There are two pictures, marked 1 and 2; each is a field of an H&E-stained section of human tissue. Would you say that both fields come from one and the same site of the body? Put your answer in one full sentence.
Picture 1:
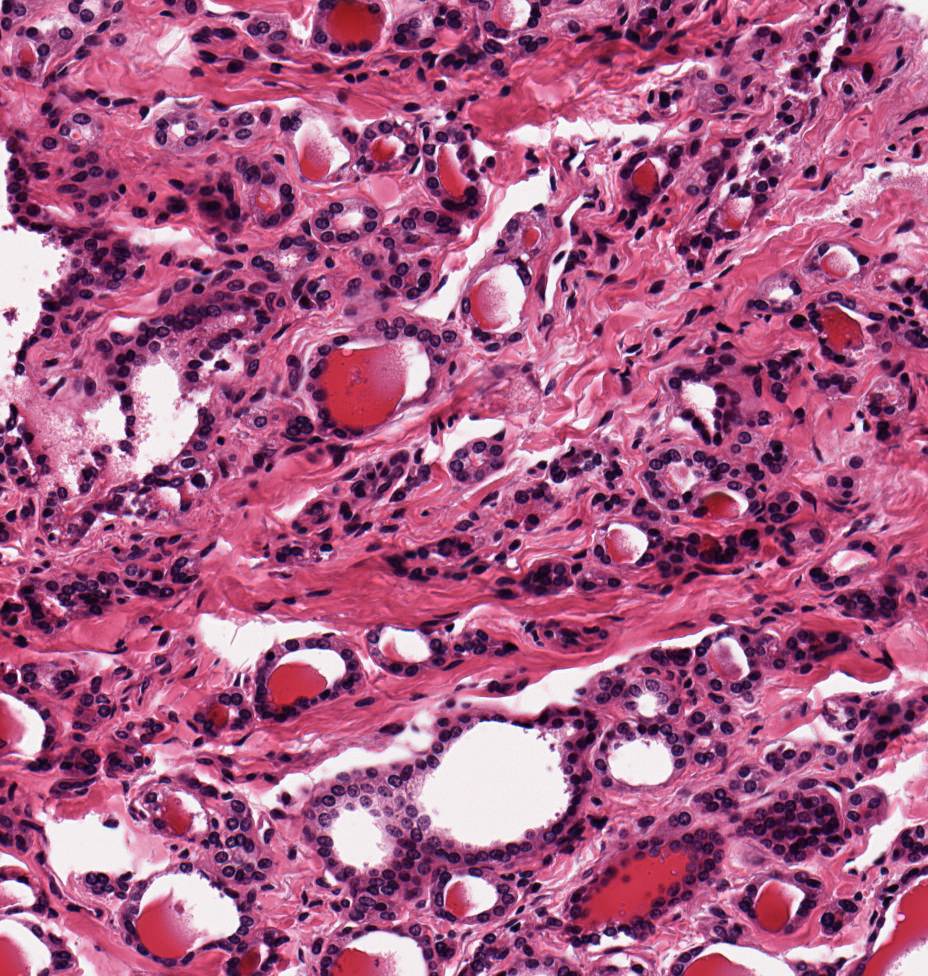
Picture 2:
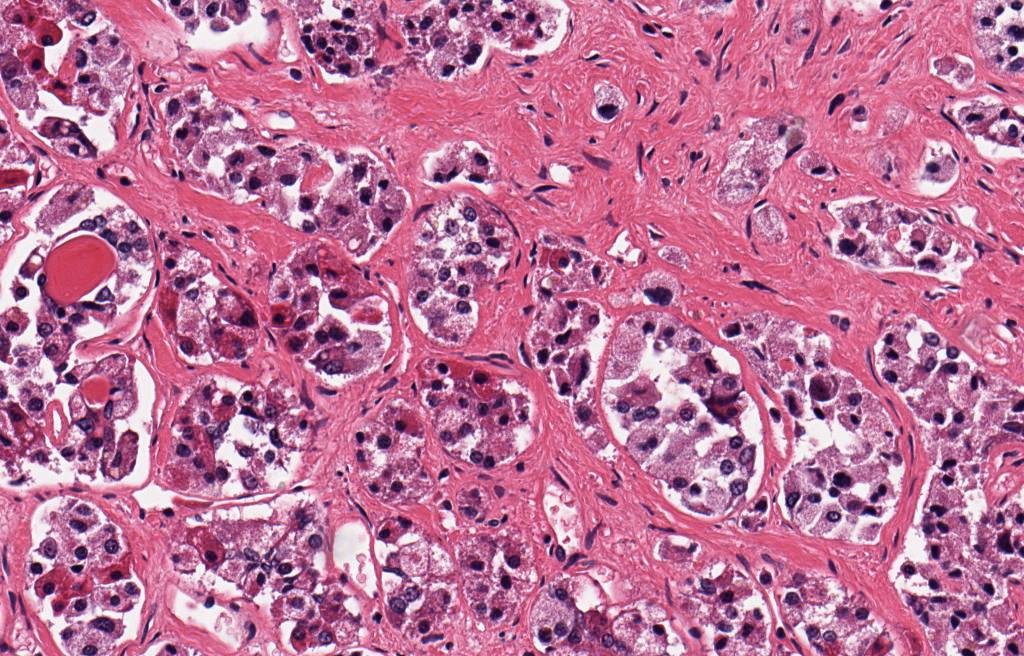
No, picture 1 comes from the thyroid and picture 2 comes from the pituitary.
